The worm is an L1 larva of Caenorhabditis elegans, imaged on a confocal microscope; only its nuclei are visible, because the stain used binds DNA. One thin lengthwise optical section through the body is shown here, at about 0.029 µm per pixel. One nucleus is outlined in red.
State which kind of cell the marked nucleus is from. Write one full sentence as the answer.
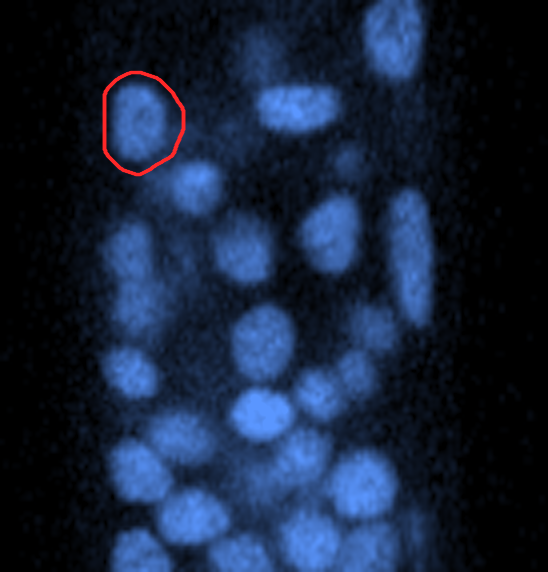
The cell with the marked nucleus is a body wall muscle cell.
